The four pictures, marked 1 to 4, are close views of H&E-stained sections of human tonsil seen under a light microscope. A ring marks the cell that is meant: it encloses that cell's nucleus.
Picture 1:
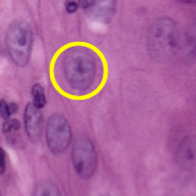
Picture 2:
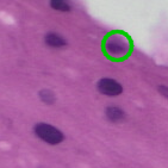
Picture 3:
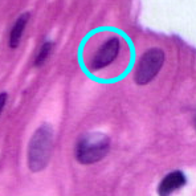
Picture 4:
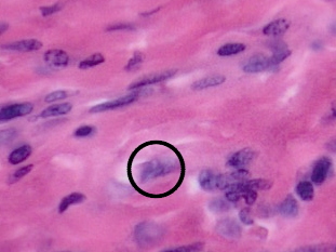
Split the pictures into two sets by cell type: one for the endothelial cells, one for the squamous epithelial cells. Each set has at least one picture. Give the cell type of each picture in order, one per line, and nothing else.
squamous epithelial cell
squamous epithelial cell
squamous epithelial cell
endothelial cell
